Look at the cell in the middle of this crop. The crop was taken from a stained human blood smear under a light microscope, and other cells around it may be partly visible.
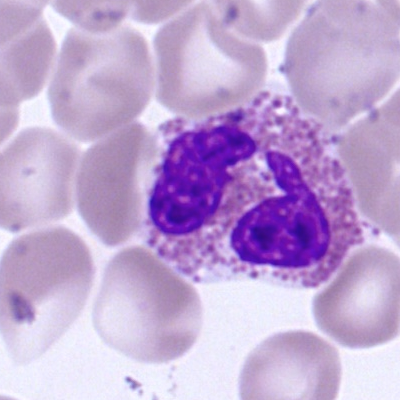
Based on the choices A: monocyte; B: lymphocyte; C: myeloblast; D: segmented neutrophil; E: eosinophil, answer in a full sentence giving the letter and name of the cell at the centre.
Option E is correct in that the central cell is an eosinophil.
